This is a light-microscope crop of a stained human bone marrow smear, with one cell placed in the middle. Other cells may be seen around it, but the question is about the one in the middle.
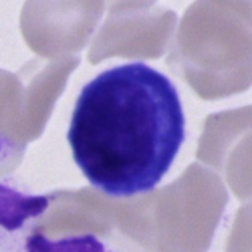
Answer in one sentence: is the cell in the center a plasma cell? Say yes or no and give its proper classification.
Yes, the cell sitting in the center is a plasma cell.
